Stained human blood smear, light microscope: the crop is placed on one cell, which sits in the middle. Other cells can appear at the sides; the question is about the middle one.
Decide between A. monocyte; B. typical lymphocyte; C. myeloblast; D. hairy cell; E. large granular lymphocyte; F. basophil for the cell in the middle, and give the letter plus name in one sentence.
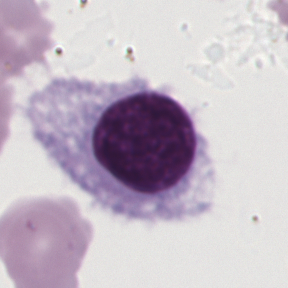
Identified correctly by option D, the cell in the middle is a hairy cell.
